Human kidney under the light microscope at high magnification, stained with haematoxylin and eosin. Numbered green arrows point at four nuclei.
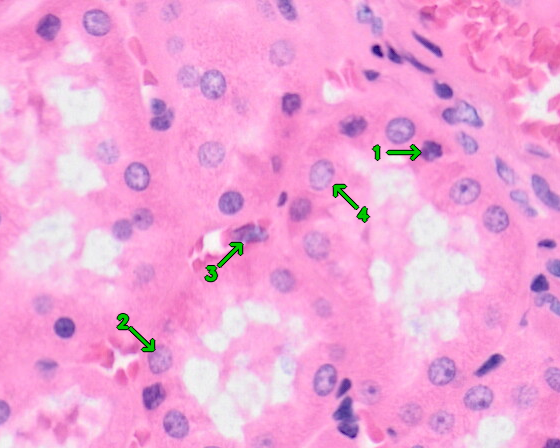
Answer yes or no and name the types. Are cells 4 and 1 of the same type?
Yes, cells 4 and 1 are both recognised as proximal tubule cells.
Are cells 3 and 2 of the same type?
No, sorry to say, cell 3 is an endothelial cell and cell 2 is a proximal tubule cell.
